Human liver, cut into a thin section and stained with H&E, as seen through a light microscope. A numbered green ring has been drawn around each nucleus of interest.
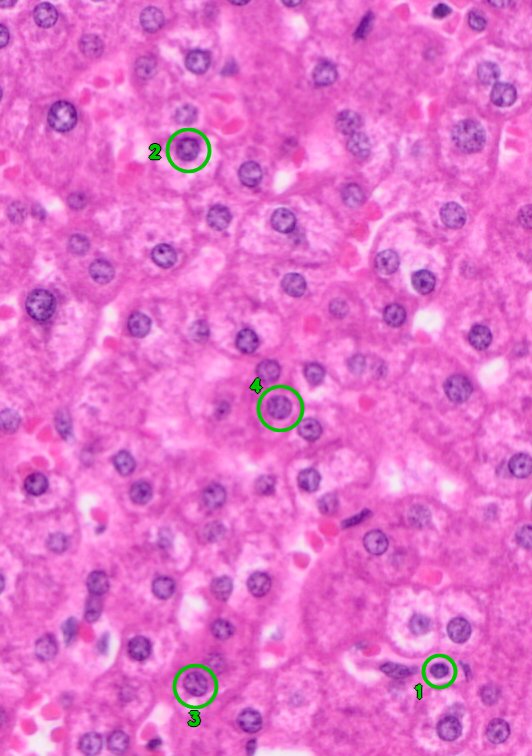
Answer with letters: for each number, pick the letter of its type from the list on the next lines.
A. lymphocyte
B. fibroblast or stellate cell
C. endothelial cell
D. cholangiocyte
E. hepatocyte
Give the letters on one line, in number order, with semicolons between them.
A; E; E; E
